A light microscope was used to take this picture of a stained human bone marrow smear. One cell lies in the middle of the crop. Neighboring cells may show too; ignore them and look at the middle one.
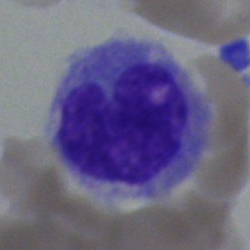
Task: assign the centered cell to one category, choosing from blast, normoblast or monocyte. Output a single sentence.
The cell the crop is centered on is a monocyte.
